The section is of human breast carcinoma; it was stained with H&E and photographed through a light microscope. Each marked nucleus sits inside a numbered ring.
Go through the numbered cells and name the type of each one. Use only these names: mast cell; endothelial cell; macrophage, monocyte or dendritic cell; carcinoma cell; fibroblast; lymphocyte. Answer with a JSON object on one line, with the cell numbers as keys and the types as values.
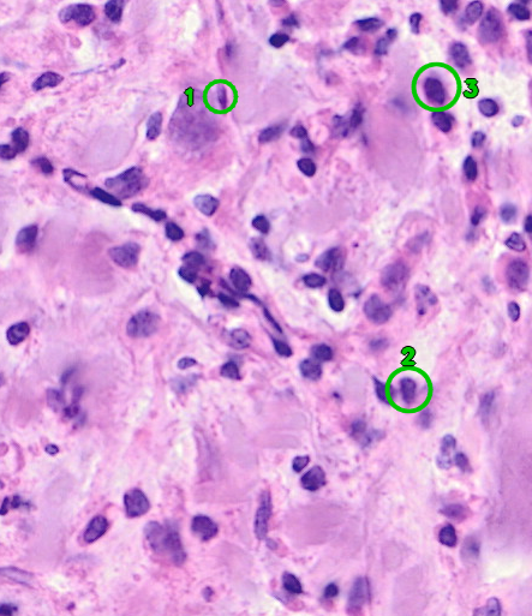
{"1": "fibroblast", "2": "lymphocyte", "3": "lymphocyte"}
